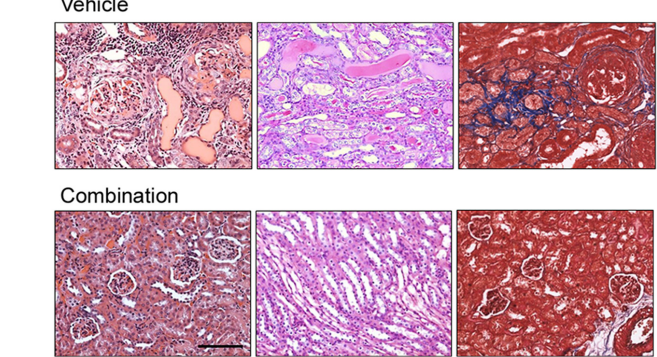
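These are sections of kidney cortex with glomeruli and tubules, shown in matched pairs of pink-purple, magenta and red-blue stains. In the upper row the tissue is disordered: glomeruli are surrounded by crowded cells, and dense clusters of small dark nuclei lie between structures. Several tubules are distended and filled with homogeneous pink material, and the red-blue stain shows a blue fibrous area between tubules. In the lower row, glomeruli and closely packed tubules with regular epithelium keep an orderly arrangement, and little blue appears between them.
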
